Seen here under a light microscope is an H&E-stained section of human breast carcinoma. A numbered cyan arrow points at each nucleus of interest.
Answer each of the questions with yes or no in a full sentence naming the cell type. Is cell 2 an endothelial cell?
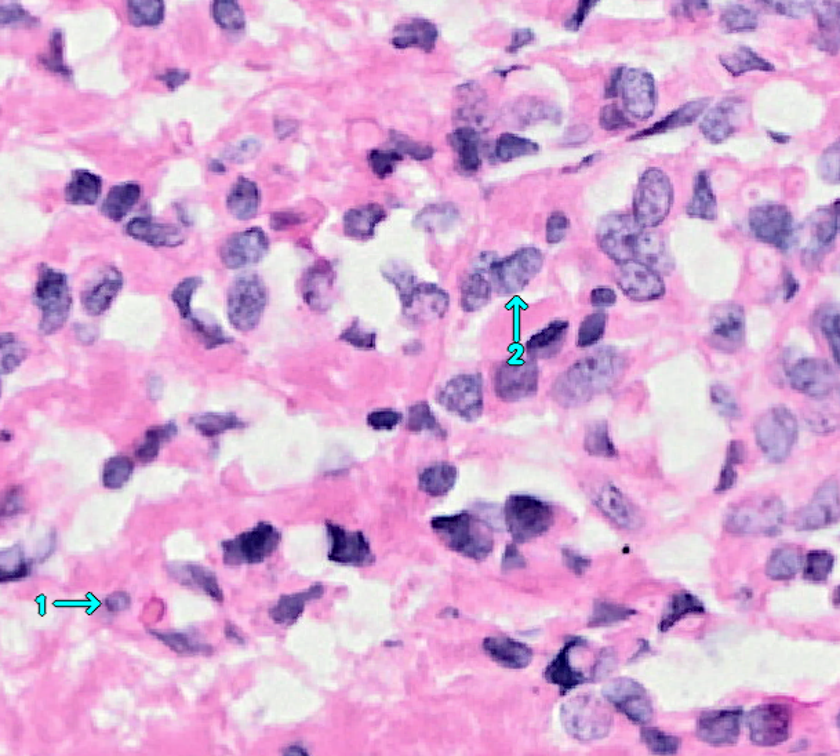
No, number 2 is not an endothelial cell but a carcinoma cell.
